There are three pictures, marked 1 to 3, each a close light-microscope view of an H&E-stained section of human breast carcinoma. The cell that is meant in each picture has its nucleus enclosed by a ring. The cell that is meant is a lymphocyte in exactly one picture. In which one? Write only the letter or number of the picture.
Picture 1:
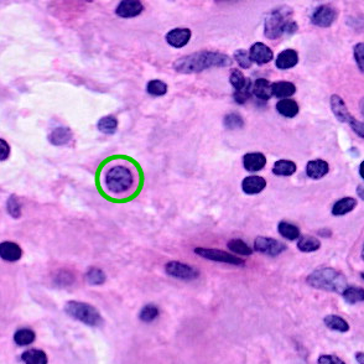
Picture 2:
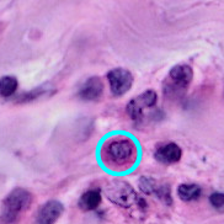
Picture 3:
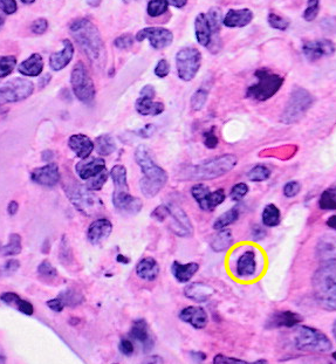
3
